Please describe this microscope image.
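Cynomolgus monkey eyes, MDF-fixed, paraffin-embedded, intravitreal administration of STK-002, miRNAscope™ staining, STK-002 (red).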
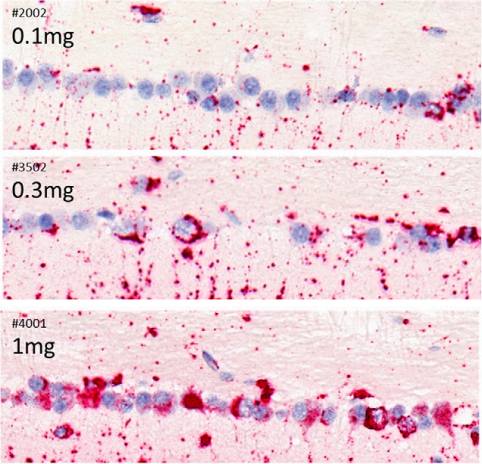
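Each strip shows a single row of round cell bodies with blue nuclei lying beneath a pale fibrous layer of the inner retina. The row of cells is the retinal ganglion cell layer.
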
